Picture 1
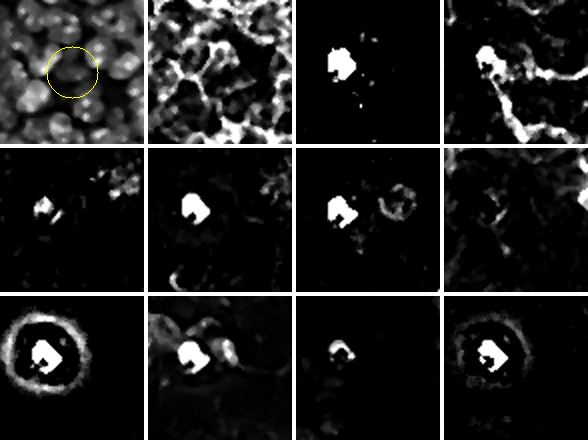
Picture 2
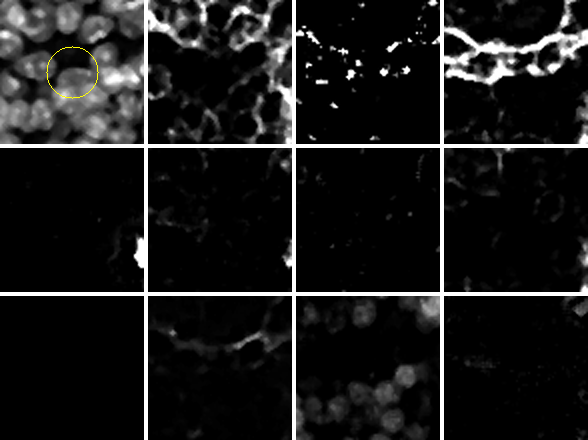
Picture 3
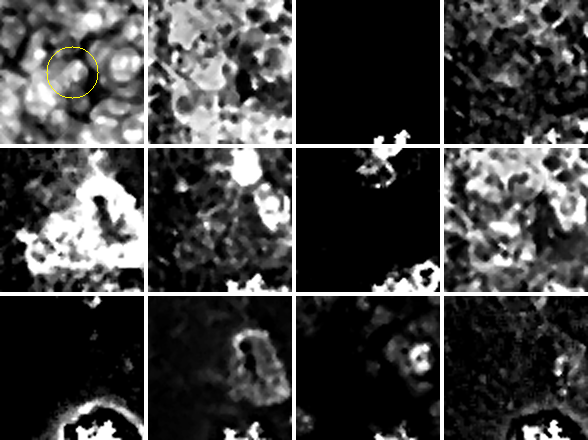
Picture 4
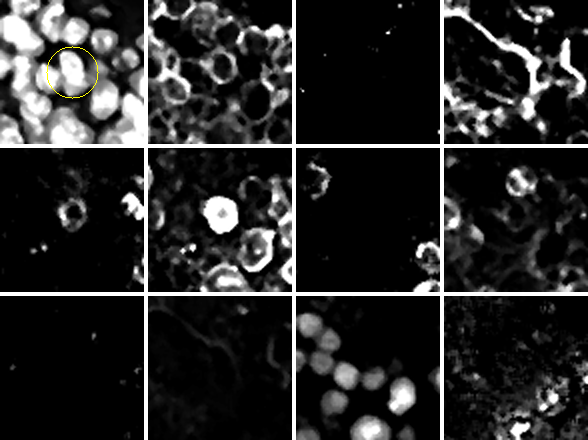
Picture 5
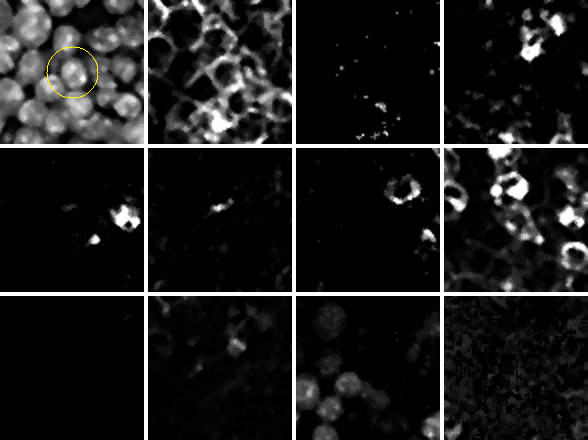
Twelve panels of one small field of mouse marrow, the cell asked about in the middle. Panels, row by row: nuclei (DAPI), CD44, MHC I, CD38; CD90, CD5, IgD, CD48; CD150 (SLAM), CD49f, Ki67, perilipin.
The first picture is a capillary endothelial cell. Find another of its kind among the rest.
Picture 2.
